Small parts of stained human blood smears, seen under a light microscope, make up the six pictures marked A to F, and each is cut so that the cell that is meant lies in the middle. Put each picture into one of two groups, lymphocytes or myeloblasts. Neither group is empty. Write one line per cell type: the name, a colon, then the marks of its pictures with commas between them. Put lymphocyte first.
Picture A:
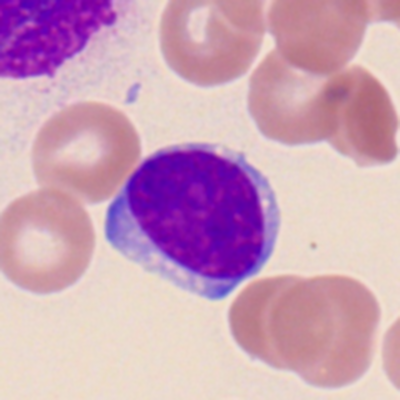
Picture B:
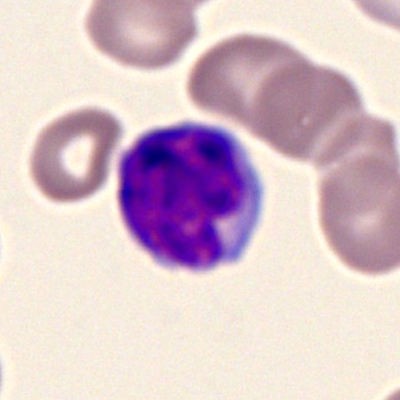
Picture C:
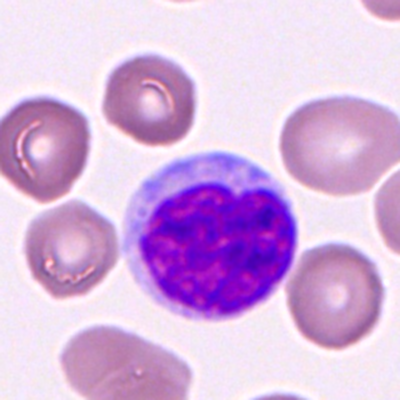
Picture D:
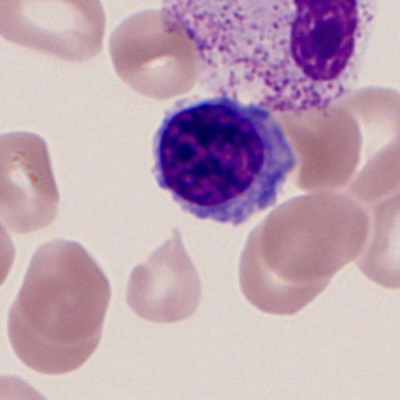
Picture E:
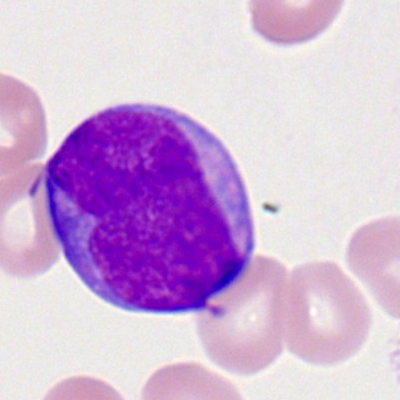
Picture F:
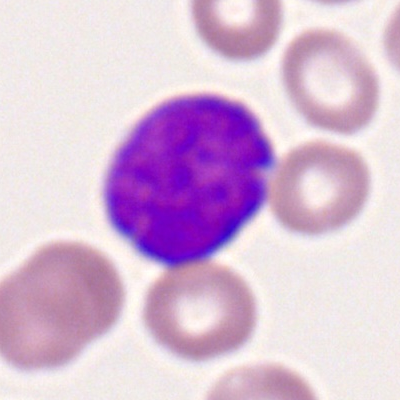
lymphocyte: A, B, C, D
myeloblast: E, F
